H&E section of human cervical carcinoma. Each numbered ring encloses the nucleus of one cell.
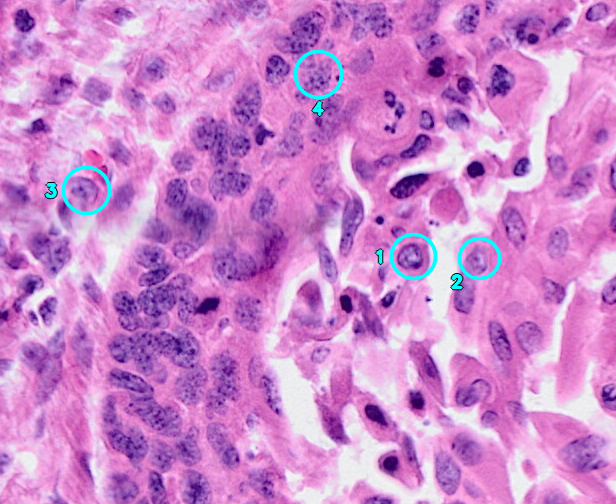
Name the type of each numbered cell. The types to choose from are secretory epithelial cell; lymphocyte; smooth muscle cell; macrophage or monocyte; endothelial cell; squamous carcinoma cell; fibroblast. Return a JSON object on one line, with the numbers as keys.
{"1": "squamous carcinoma cell", "2": "squamous carcinoma cell", "3": "endothelial cell", "4": "squamous carcinoma cell"}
